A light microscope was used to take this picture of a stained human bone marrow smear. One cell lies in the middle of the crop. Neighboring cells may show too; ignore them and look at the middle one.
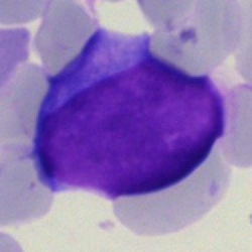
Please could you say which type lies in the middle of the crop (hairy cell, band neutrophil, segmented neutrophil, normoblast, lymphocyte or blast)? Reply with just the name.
blast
